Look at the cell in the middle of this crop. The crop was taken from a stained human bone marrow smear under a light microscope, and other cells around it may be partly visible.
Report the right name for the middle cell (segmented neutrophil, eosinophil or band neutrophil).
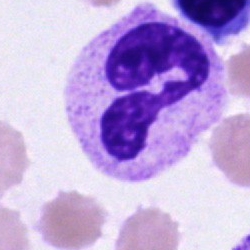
segmented neutrophil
